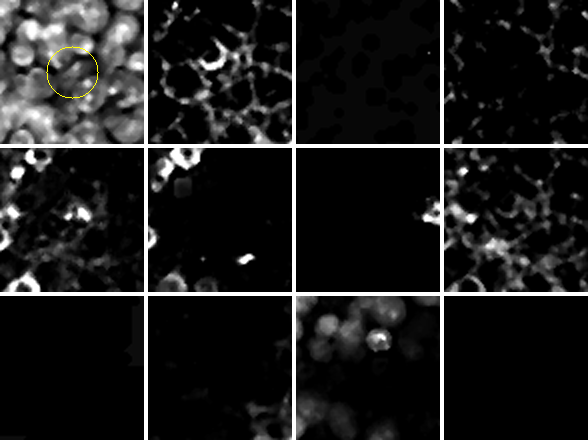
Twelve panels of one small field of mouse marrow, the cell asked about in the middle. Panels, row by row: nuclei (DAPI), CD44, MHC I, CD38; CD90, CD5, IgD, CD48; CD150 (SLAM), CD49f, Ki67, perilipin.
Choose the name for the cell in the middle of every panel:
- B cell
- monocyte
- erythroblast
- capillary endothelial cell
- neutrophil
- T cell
neutrophil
